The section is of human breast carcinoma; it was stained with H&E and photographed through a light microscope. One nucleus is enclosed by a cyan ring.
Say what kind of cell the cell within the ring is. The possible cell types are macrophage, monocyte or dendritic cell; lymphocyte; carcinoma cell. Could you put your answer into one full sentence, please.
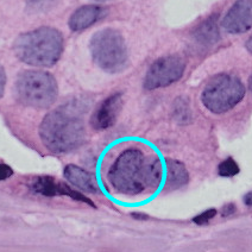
The correct response here is that the cell within the ring is a carcinoma cell.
